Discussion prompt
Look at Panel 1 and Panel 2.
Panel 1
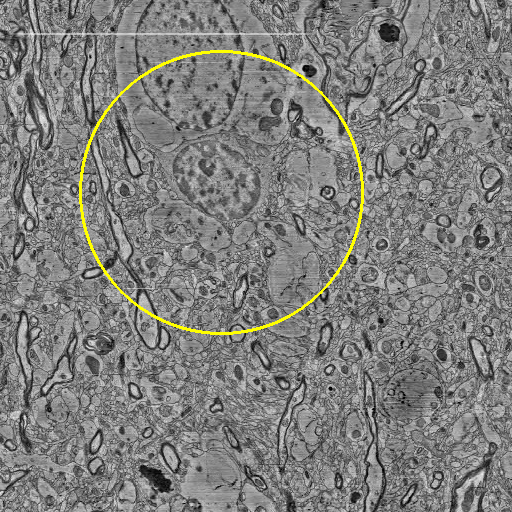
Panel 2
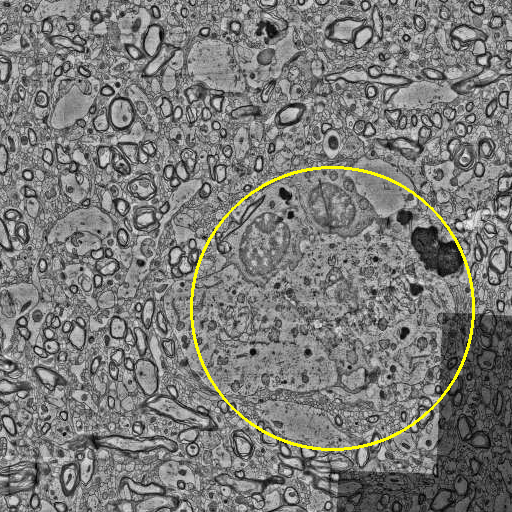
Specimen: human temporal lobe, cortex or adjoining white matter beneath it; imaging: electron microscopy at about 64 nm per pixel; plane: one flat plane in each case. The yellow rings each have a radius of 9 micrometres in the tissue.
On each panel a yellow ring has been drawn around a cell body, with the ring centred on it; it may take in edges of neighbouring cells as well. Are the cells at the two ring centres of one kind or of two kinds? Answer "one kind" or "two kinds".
one kind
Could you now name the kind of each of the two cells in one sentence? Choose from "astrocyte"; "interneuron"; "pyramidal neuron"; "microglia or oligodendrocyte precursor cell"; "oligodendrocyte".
Both the first and the second picture show an oligodendrocyte in the ring.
